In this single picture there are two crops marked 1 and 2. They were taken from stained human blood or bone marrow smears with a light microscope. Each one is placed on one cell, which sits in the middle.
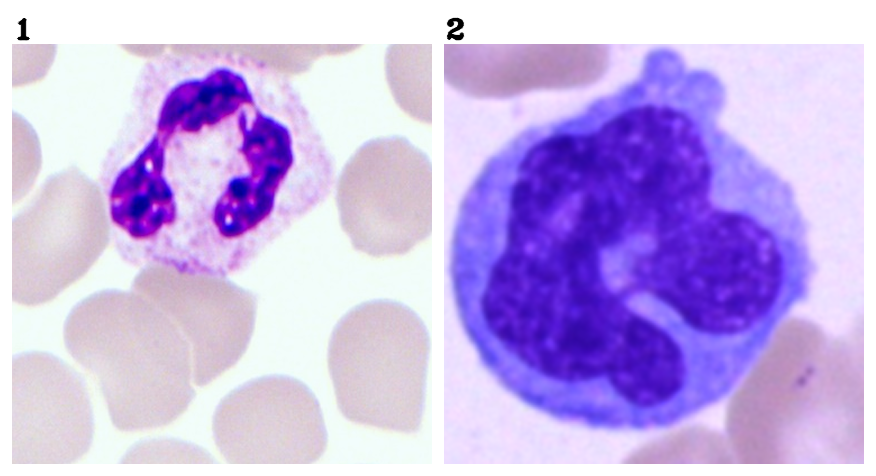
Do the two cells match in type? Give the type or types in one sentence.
No, crop 1 carries a segmented neutrophil and crop 2 carries a monocyte.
